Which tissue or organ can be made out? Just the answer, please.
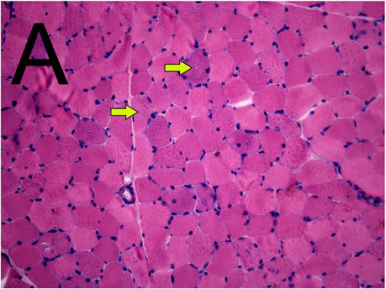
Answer: Muscle fibers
